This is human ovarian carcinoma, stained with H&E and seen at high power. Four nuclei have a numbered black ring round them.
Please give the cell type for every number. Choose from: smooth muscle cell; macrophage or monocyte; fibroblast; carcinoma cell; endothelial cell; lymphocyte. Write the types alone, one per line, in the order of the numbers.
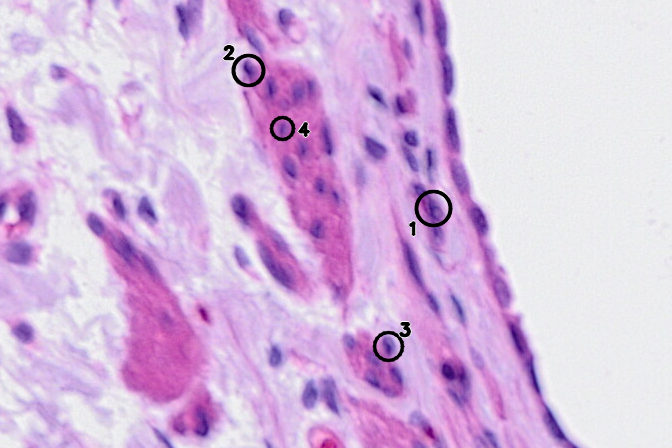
endothelial cell
smooth muscle cell
smooth muscle cell
smooth muscle cell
